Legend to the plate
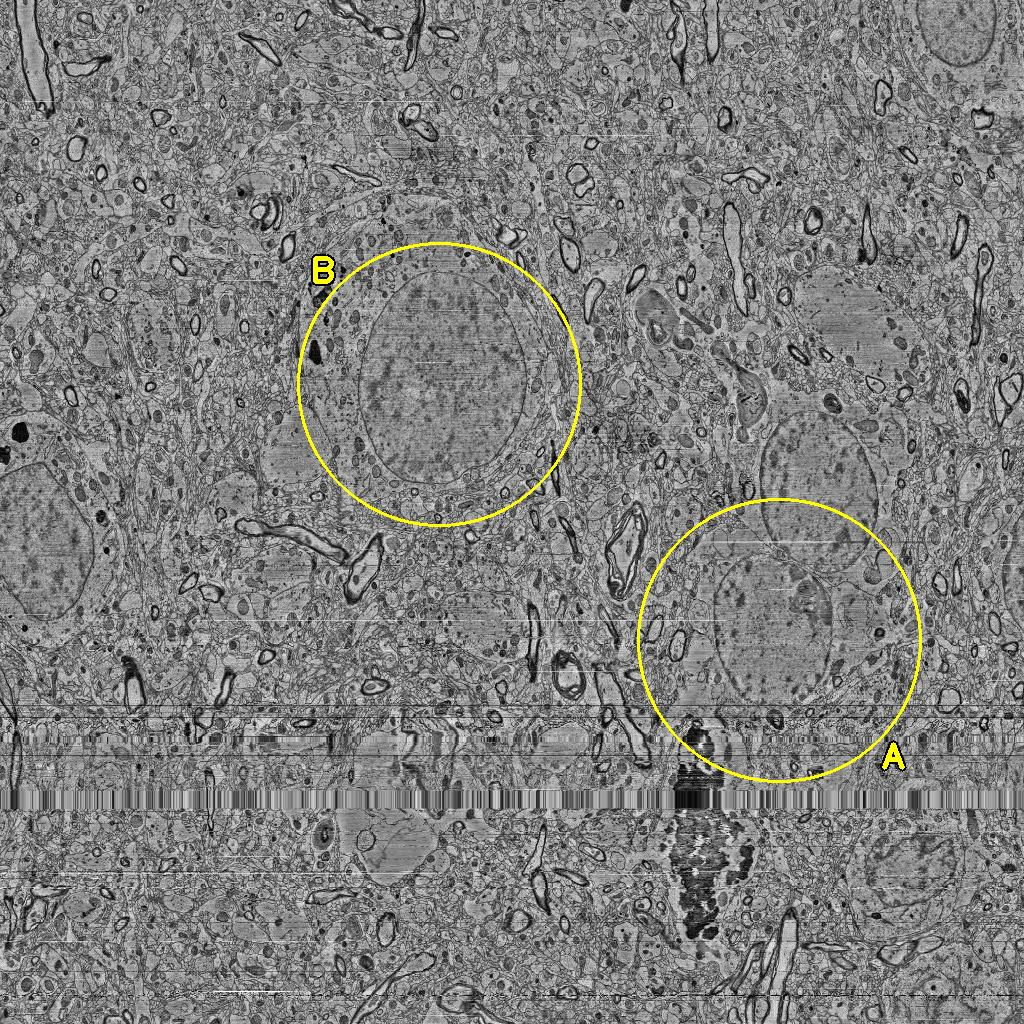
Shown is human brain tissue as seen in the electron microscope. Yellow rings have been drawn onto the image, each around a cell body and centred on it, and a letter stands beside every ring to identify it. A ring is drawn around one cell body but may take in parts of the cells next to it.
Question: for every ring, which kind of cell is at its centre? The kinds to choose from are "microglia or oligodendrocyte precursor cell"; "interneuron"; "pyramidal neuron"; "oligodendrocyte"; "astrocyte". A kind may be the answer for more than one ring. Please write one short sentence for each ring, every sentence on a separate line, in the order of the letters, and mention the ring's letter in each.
The kind of cell at the centre of ring A is an astrocyte.
The kind of cell at the centre of ring B is a pyramidal neuron.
